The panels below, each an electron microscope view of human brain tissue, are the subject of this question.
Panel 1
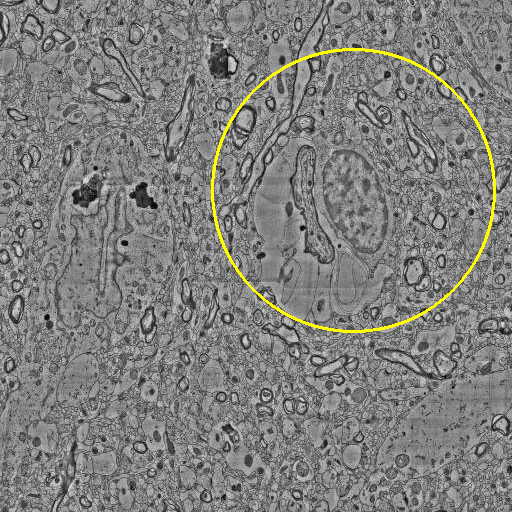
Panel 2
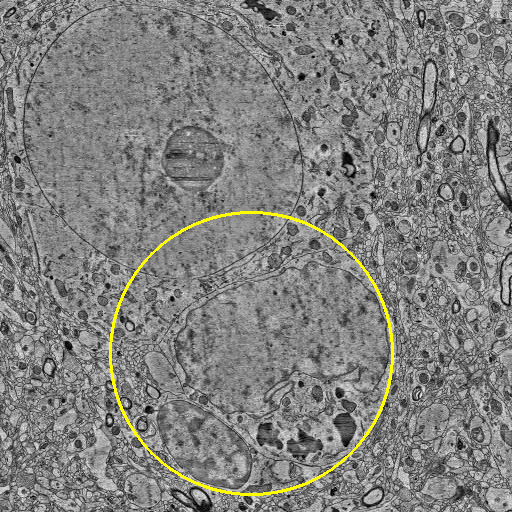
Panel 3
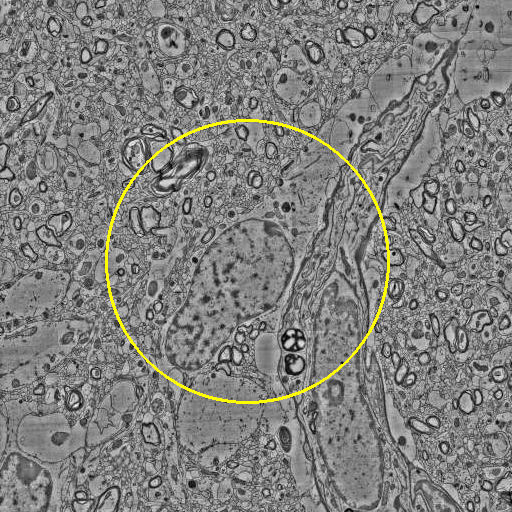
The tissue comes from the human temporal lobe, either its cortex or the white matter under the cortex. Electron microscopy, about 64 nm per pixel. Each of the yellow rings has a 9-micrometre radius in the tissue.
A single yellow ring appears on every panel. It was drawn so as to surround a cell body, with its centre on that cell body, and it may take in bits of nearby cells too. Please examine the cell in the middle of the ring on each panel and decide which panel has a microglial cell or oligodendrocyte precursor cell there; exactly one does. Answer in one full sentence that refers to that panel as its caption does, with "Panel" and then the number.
Panel 3 is where the ring's central cell answers the question.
